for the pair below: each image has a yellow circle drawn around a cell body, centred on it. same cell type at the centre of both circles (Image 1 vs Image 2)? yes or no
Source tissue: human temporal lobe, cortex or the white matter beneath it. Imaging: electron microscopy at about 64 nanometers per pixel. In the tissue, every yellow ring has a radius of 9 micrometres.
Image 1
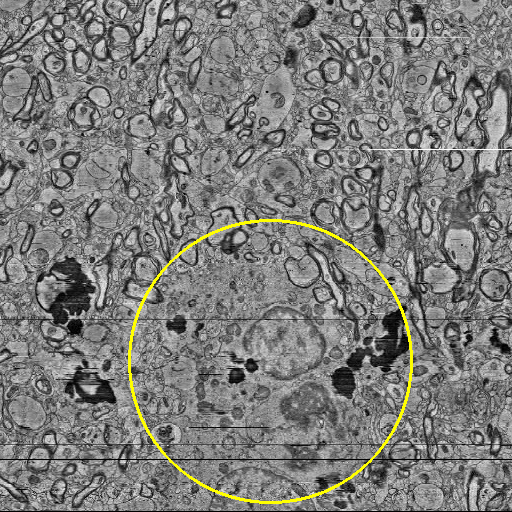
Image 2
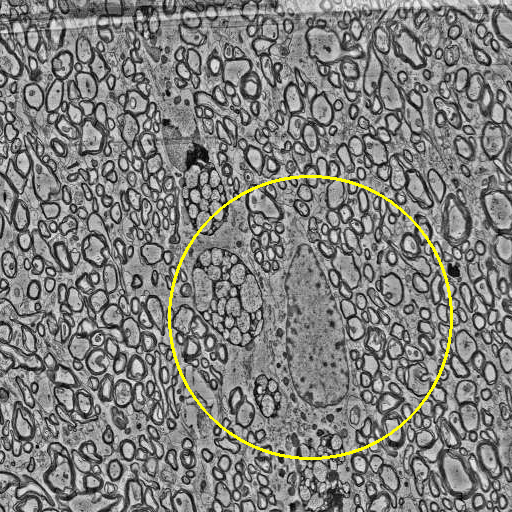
no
